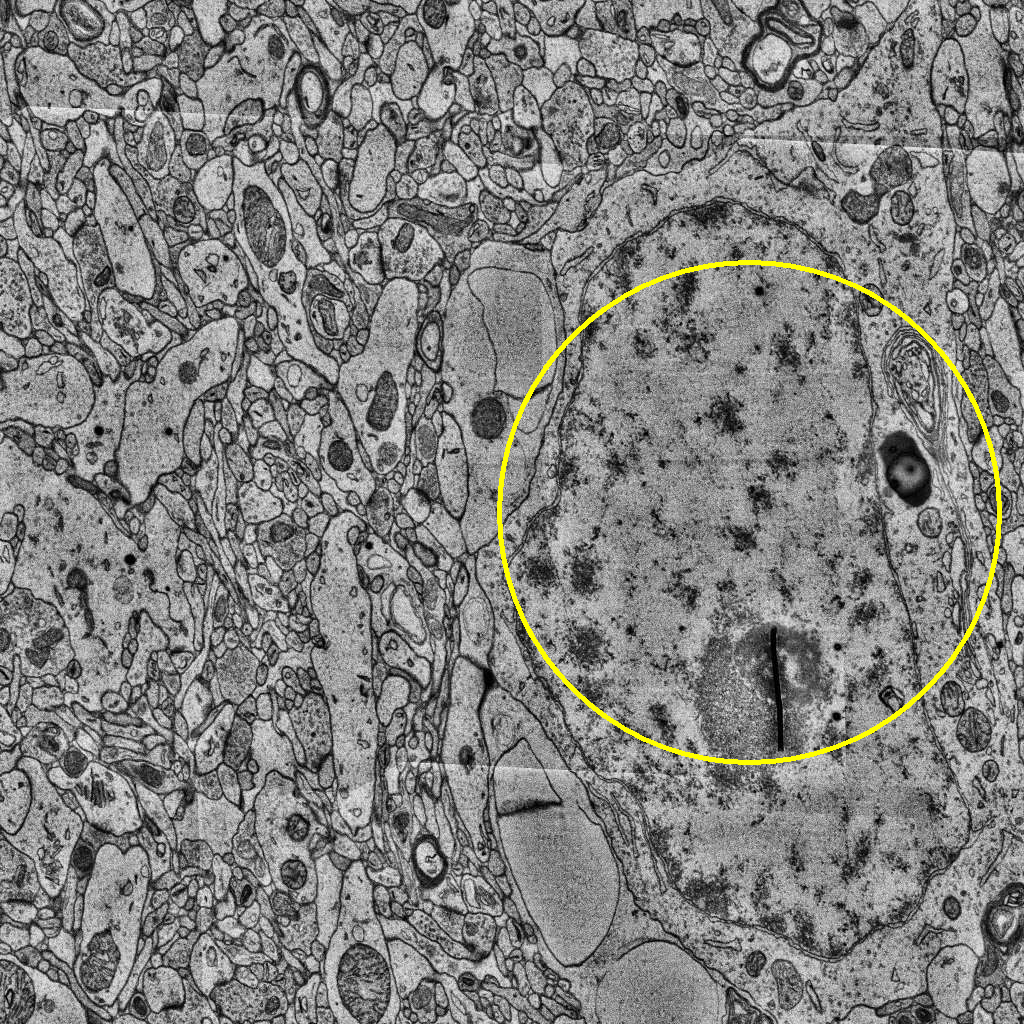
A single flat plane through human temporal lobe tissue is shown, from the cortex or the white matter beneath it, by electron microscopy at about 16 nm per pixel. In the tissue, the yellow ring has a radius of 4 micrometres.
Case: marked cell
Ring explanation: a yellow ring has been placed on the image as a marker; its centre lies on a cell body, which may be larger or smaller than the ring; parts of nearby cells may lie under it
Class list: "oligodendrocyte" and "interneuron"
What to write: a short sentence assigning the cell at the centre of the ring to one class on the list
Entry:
The cell at the ring's centre is an interneuron.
